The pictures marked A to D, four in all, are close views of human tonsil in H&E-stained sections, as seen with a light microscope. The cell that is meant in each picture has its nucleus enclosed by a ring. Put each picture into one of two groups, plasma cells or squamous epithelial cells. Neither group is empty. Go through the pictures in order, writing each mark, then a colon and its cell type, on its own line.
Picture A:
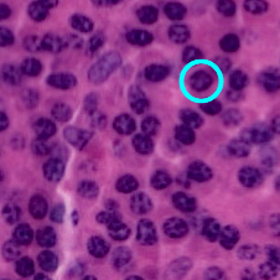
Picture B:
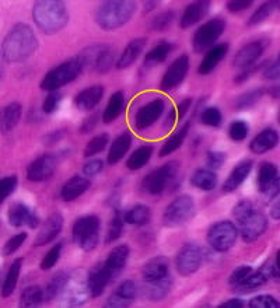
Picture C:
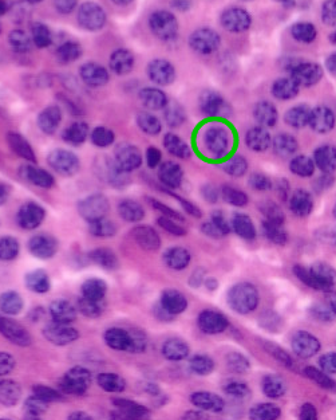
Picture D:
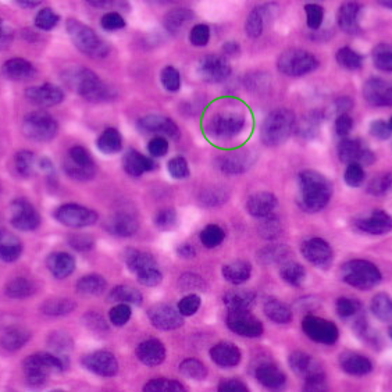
A: plasma cell
B: squamous epithelial cell
C: plasma cell
D: squamous epithelial cell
